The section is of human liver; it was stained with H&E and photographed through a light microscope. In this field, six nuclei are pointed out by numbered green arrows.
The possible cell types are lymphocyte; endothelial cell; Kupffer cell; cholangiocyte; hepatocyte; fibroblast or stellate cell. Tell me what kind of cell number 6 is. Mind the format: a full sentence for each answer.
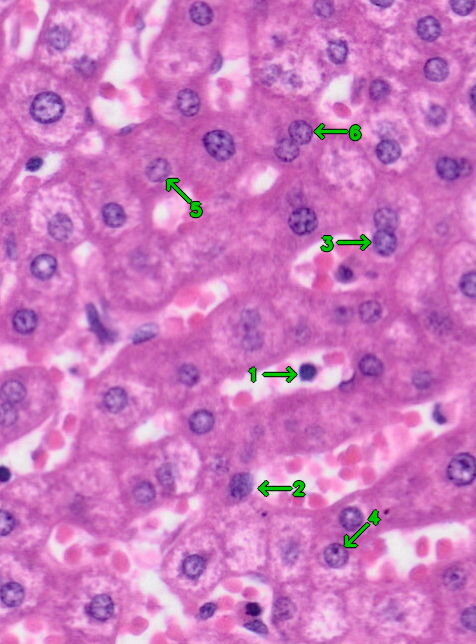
The nucleus labelled 6 belongs to a hepatocyte.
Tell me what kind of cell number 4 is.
The identity of cell 4 is that of a hepatocyte.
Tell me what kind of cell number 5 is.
The marked cell with the number 5 is recognised as a hepatocyte.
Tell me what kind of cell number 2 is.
In this section, the cell tagged 2 is a fibroblast or stellate cell.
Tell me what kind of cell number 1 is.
The cell indicated by marker 1 is a lymphocyte in this section.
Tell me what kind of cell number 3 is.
Cell 3 in the field is a hepatocyte.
